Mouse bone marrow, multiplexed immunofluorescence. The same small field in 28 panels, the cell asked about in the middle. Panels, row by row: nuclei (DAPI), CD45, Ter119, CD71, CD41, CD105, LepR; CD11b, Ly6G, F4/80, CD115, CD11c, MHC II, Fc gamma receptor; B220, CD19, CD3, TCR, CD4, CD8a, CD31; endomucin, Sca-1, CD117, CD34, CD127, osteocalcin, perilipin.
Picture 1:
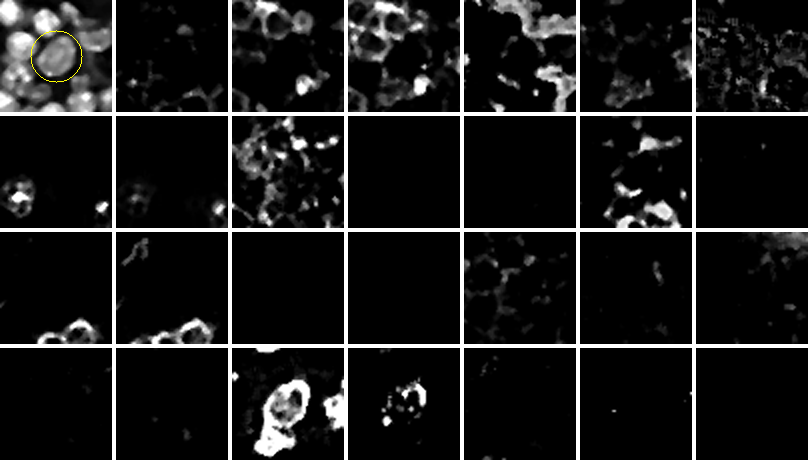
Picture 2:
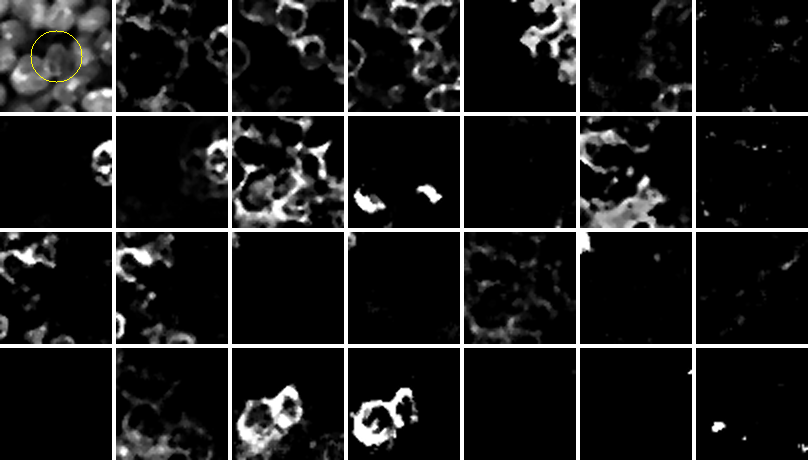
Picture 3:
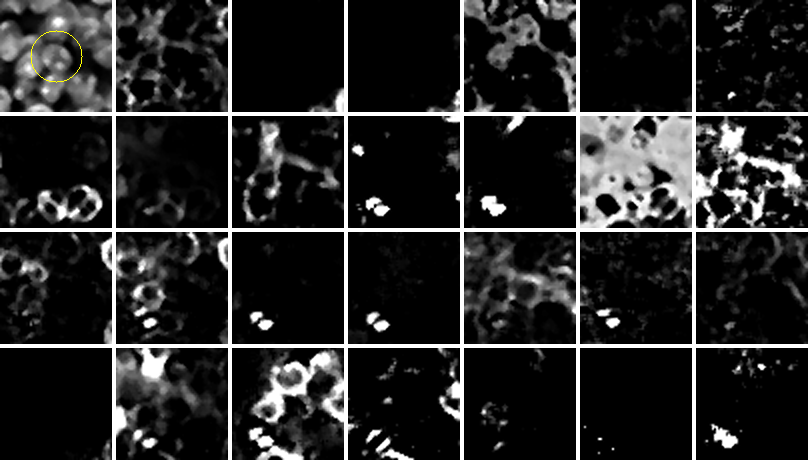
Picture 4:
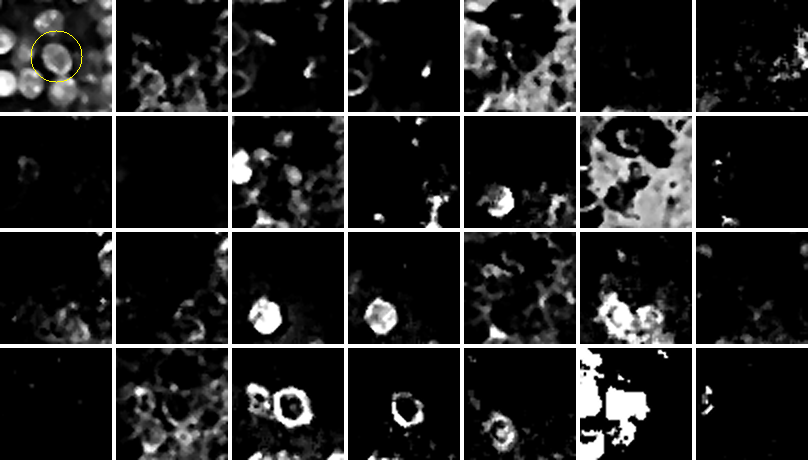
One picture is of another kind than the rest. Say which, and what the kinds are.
Picture 3 shows a granulocyte-monocyte progenitor; the rest show common myeloid progenitors.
